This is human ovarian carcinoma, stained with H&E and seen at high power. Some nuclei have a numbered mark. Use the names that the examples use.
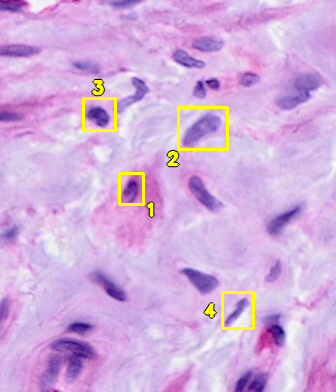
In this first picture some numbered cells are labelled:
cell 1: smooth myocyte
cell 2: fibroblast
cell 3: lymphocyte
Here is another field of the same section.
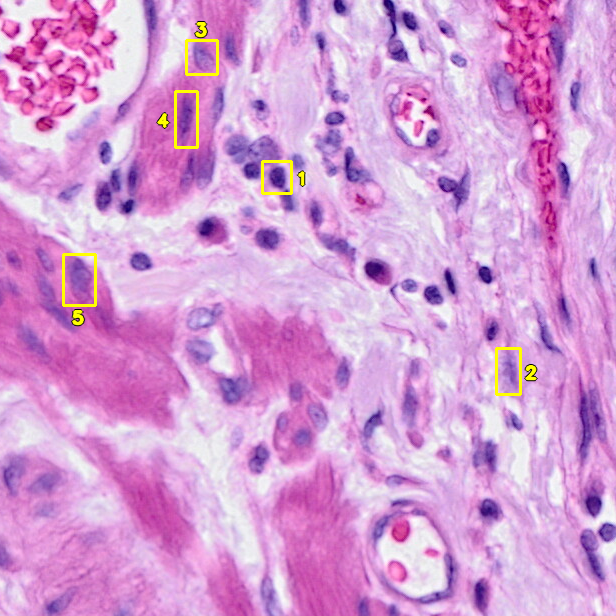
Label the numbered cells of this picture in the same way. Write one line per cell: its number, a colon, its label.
1: lymphocyte
2: fibroblast
3: smooth myocyte
4: smooth myocyte
5: smooth myocyte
